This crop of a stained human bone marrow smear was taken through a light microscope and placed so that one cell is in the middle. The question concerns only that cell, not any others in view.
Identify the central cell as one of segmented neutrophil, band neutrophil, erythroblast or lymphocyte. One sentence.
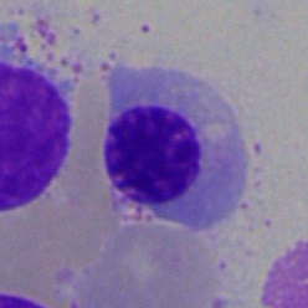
At the crop's centre, the cell is an erythroblast.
